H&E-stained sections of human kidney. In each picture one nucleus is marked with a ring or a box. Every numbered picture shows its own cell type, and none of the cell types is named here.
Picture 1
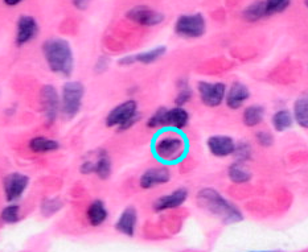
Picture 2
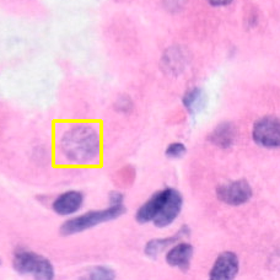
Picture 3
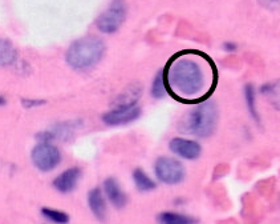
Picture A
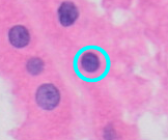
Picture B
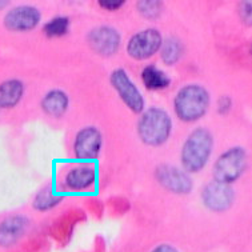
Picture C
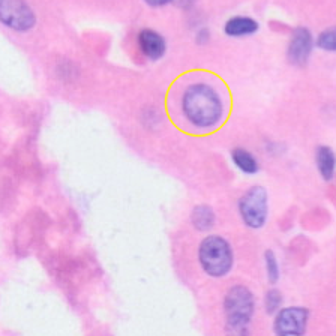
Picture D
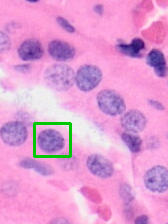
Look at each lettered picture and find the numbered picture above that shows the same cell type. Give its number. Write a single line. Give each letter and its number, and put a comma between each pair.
A 2, B 3, C 2, D 3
